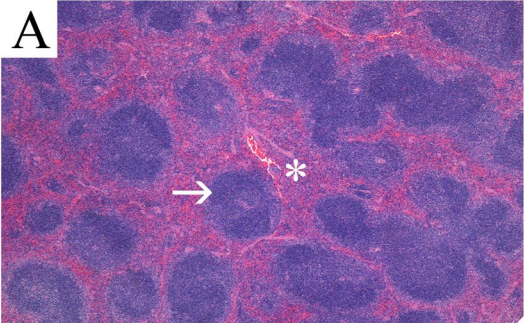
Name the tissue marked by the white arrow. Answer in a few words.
White pulp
